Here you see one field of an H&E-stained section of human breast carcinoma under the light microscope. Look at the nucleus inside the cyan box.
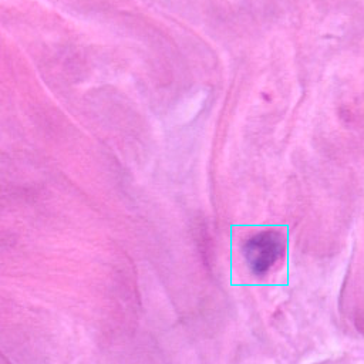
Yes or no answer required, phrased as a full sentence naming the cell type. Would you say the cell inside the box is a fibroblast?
Yes, the cell inside the box is properly regarded as a fibroblast.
